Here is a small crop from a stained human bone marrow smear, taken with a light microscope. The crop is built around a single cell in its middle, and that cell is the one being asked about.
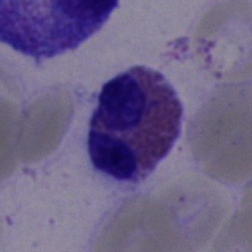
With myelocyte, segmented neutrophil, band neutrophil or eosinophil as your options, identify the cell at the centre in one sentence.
Here the cell in the middle is an eosinophil.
